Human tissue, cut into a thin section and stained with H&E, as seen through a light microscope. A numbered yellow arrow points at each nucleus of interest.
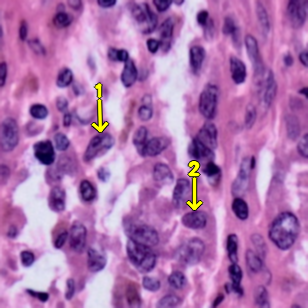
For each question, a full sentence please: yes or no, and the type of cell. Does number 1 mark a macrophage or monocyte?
Yes, the cell identified by number 1 is a macrophage or monocyte.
